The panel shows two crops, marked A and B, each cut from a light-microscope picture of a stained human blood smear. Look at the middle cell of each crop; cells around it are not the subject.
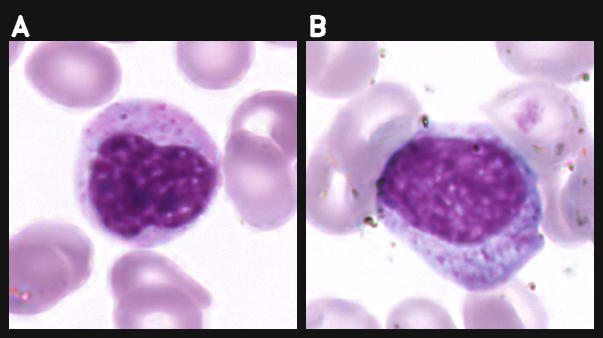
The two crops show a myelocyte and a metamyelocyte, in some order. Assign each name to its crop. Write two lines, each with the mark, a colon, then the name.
A: metamyelocyte
B: myelocyte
